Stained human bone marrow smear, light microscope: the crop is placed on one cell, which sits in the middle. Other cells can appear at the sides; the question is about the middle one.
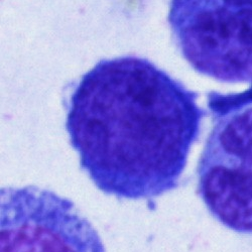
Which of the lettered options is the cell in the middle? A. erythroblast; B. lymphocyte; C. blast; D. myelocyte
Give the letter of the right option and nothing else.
C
